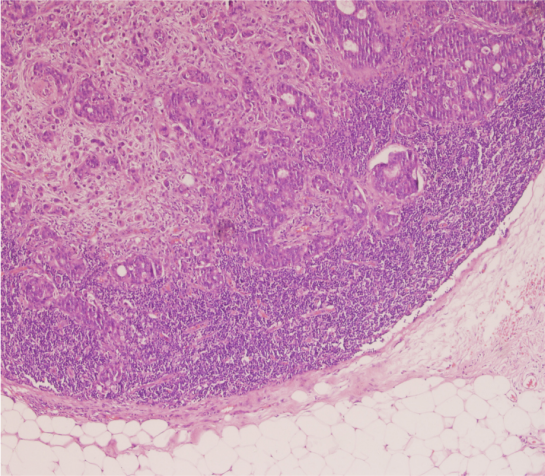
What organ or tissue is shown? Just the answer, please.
Lymph node.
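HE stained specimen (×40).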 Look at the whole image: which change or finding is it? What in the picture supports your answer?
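The upper left is taken up by large cells with abundant pink cytoplasm and large, varied nuclei. These large cells are clearly unlike the small dark round cells of the band beside them. The large-cell area is set in a pale fibrous stroma inside the node. So: metastatic tumor tissues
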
